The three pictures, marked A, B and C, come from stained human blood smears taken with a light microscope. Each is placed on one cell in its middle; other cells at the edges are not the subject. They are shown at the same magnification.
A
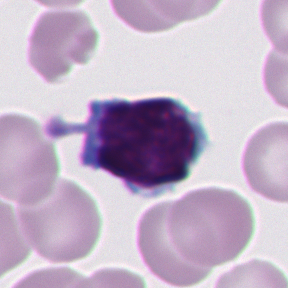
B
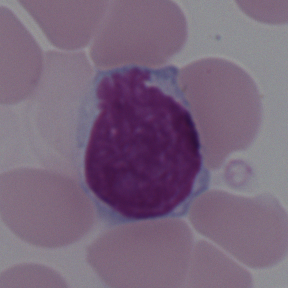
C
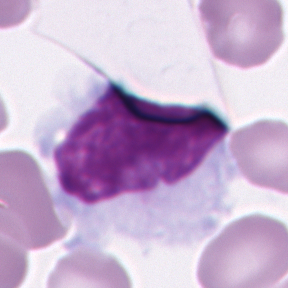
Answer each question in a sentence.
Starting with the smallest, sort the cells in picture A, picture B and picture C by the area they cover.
Going up, they run A, B, C.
